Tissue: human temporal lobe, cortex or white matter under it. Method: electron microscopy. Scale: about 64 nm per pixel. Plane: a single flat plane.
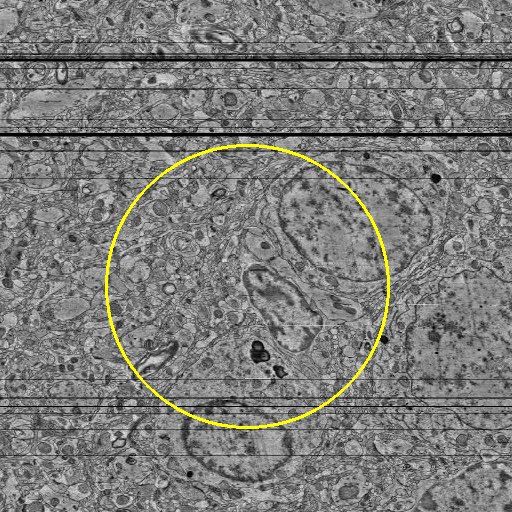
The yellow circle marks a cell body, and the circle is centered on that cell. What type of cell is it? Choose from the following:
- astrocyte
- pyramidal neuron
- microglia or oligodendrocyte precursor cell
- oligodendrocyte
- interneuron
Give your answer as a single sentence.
This cell body belongs to a microglial cell or oligodendrocyte precursor cell.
